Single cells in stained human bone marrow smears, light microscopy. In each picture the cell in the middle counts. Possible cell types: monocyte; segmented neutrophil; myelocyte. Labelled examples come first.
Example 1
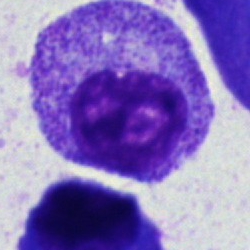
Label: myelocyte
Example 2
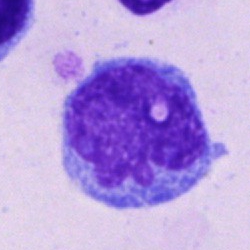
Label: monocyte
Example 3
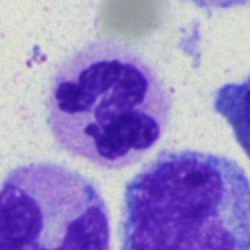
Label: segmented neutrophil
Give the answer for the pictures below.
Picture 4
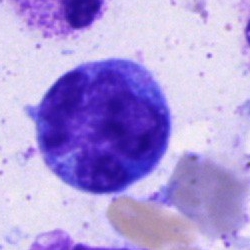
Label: monocyte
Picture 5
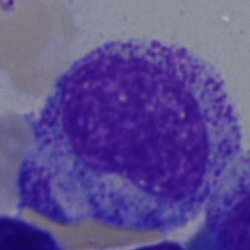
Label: myelocyte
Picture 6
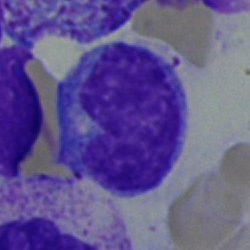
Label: monocyte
